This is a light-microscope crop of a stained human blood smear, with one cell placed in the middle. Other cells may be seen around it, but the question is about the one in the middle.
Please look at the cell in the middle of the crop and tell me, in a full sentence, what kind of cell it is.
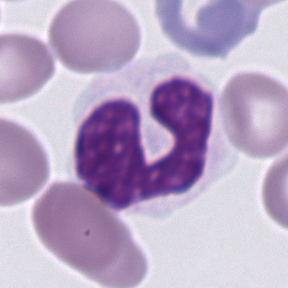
Centrally within this crop lies a band neutrophil.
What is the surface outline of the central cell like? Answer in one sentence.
Smooth outline, no projections: that is the whole story of its edge.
